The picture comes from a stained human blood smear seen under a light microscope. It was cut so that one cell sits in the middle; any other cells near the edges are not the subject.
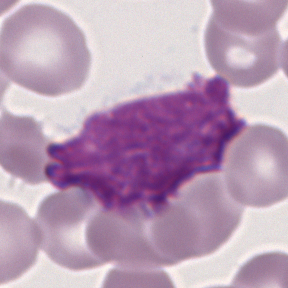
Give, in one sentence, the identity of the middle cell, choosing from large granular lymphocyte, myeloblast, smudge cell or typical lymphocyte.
At the crop's centre, the cell is a smudge cell.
